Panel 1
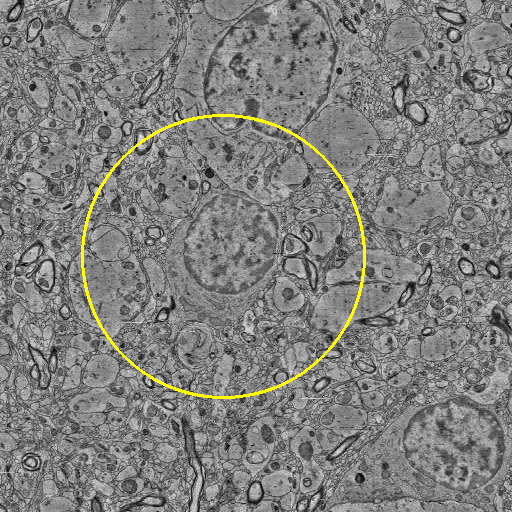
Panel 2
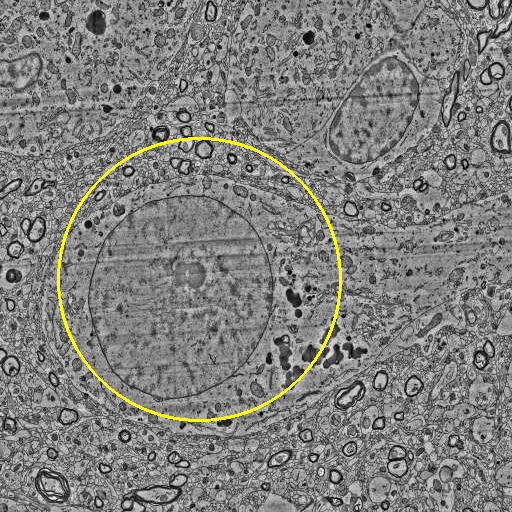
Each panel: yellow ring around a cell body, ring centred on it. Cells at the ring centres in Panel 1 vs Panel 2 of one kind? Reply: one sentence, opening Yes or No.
No, Panel 1 and Panel 2 have cells of two kinds at the ring centres.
